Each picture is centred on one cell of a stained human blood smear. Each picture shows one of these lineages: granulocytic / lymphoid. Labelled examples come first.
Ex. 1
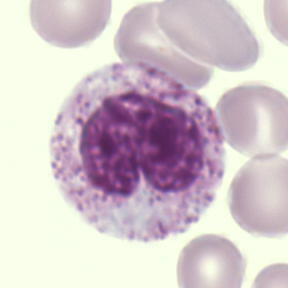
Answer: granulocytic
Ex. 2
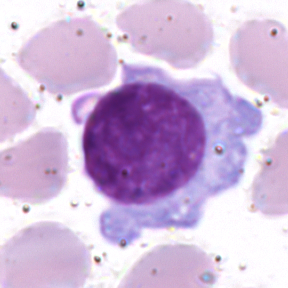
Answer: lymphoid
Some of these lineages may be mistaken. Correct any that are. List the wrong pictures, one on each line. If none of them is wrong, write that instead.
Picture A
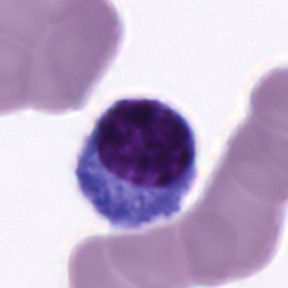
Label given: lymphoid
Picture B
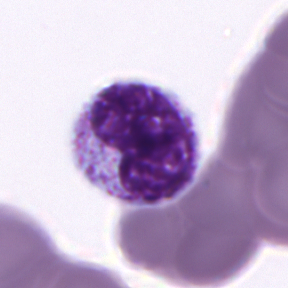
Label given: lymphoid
B: not lymphoid but granulocytic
